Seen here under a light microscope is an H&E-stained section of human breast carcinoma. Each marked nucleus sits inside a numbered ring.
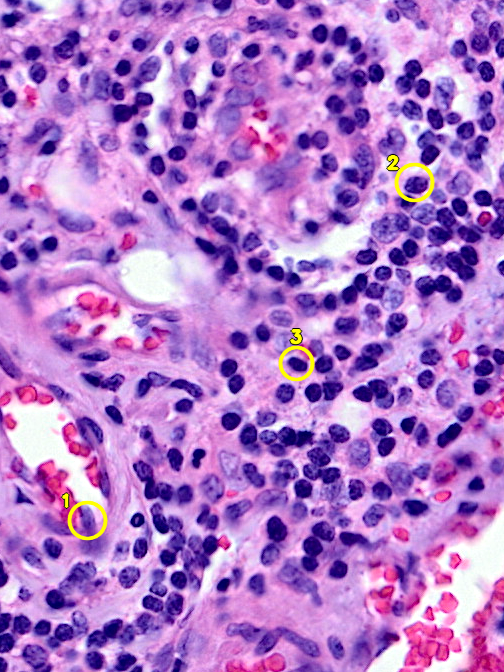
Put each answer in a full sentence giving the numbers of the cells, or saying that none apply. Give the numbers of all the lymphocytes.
The cells picked out by numbers 2 and 3 are lymphocytes.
